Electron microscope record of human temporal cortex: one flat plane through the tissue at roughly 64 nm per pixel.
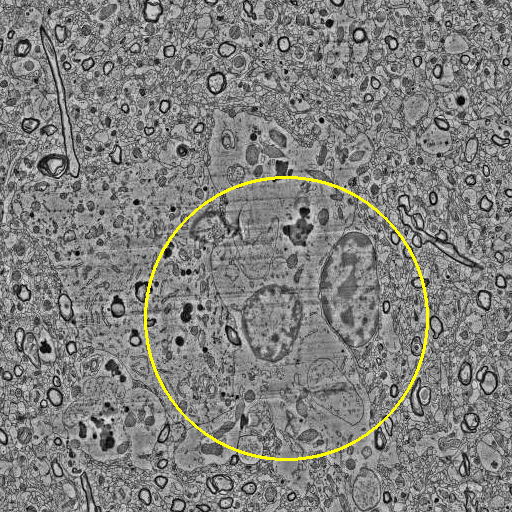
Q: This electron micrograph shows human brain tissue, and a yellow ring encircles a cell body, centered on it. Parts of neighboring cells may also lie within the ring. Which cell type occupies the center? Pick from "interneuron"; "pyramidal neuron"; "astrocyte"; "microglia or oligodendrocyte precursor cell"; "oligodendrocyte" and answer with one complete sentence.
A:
What sits at the ring's center in this micrograph is an astrocyte, among those choices.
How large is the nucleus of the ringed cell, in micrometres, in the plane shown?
In this plane the nucleus spans approximately 5 by 4 micrometers.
